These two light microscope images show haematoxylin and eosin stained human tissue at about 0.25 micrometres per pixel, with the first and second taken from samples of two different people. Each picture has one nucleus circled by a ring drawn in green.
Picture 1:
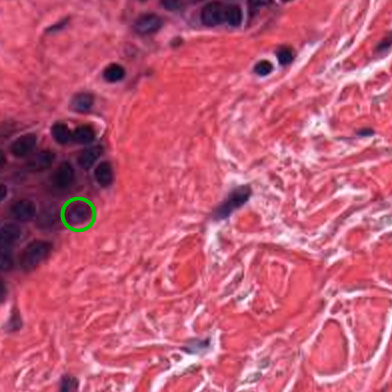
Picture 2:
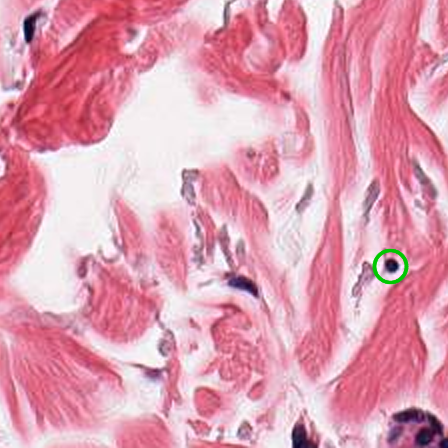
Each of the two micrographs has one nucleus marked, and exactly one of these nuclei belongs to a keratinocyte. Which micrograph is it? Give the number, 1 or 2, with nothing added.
1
